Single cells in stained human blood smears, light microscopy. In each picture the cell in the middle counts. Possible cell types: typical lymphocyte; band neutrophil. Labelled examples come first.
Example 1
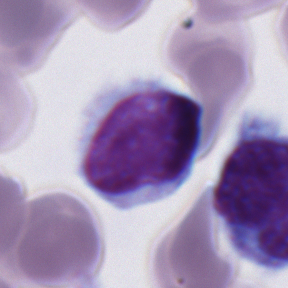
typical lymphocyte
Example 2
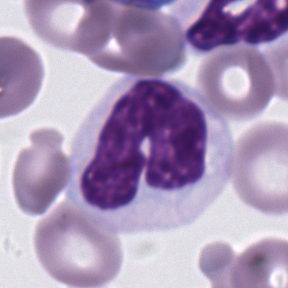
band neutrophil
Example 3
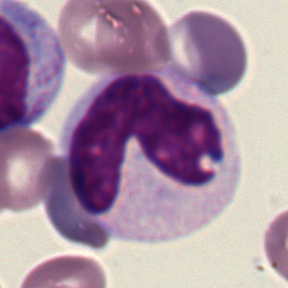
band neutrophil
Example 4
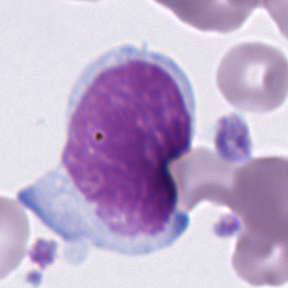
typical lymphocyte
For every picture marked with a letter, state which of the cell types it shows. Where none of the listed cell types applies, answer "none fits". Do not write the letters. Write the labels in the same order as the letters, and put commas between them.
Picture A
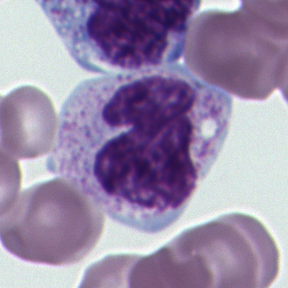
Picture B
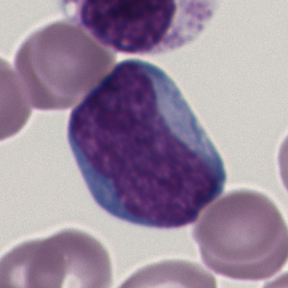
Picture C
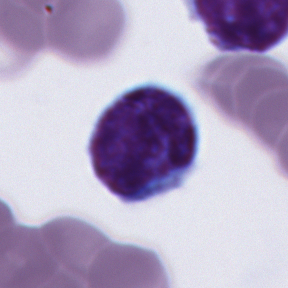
band neutrophil, none fits, typical lymphocyte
